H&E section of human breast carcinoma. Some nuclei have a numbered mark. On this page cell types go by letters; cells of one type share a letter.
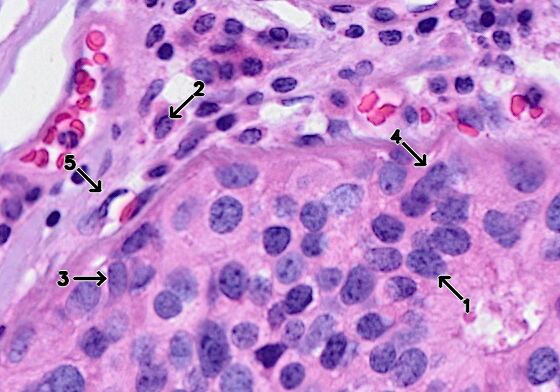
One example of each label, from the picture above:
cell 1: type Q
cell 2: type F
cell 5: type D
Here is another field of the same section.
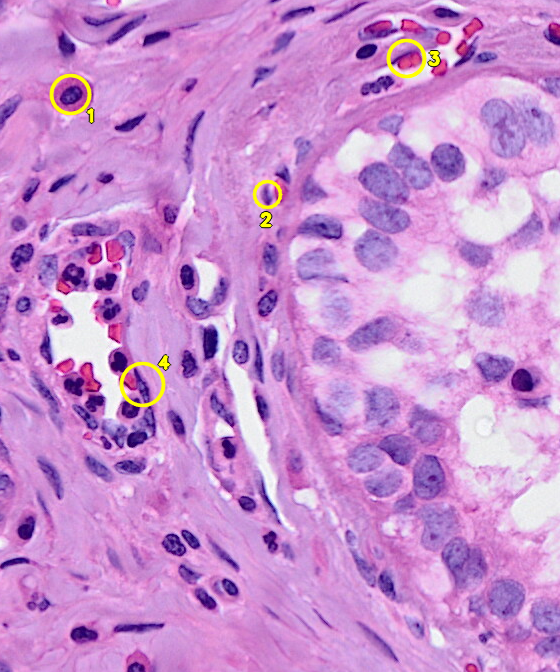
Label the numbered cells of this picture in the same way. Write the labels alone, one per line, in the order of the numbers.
type F
type D
type D
type D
